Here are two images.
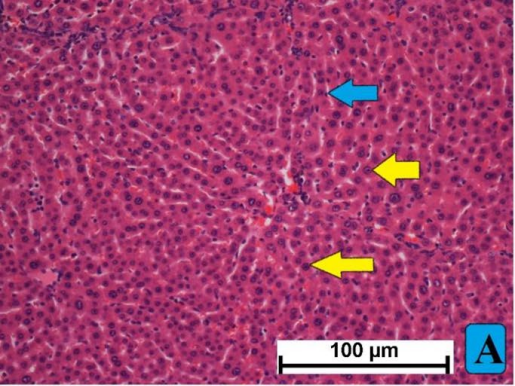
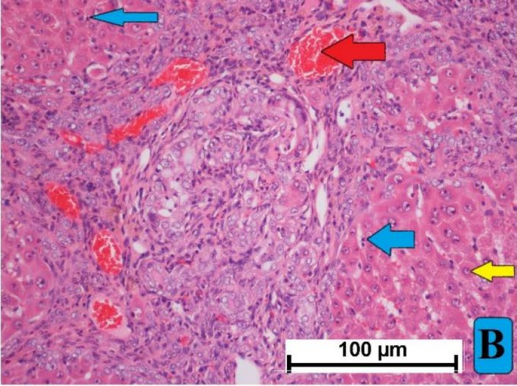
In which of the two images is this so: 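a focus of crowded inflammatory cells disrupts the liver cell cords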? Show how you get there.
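The second image. Second image: a rounded focus of densely packed dark nuclei and fibrous tissue interrupts the cords. First image: regular cords of liver cells radiate without any such focus.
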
